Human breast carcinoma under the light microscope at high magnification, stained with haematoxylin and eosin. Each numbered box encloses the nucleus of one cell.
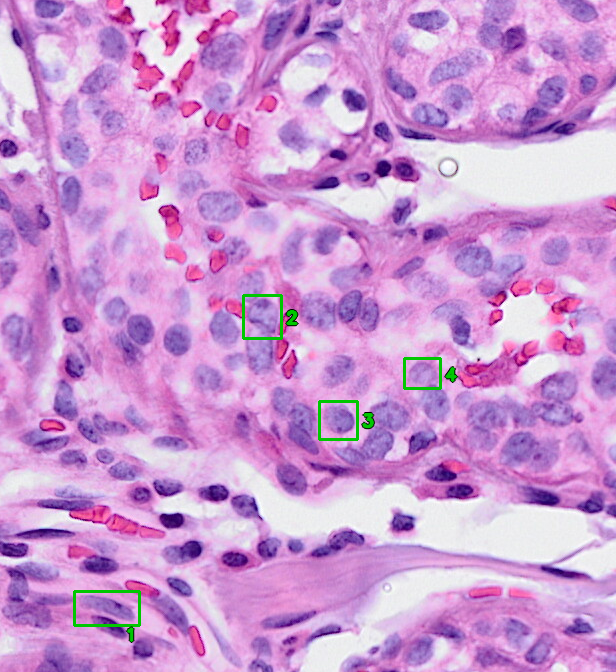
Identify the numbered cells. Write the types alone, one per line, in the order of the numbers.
endothelial cell
carcinoma cell
carcinoma cell
carcinoma cell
